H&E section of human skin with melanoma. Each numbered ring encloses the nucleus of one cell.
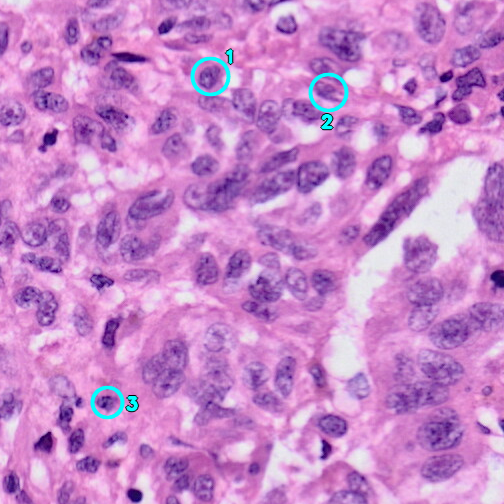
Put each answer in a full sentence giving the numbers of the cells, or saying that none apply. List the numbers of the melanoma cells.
The cells which carry the numbers 1 and 2 are melanoma cells.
